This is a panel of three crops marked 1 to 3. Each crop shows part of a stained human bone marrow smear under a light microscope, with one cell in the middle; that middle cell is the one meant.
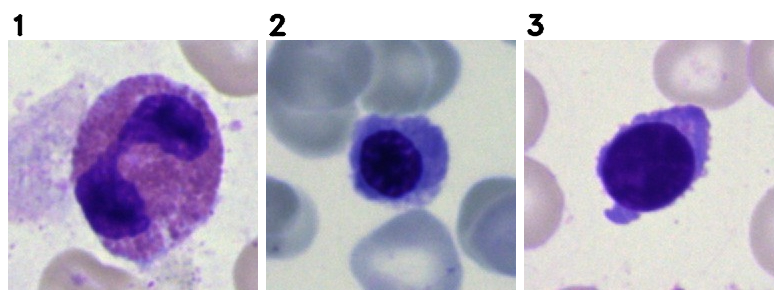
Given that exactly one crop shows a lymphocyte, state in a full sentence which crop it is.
Crop 3 is where a lymphocyte is shown.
